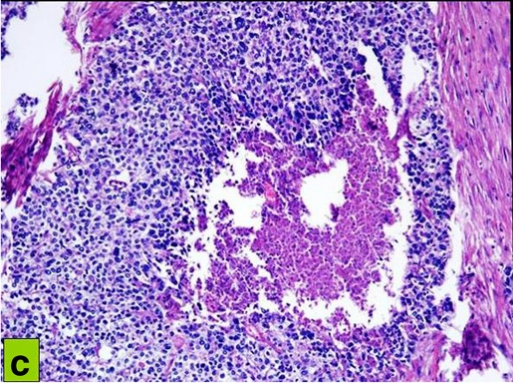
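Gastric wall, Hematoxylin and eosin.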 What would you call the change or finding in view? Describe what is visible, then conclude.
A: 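The center of a solid cell nest is filled with pink granular debris lacking intact nuclei. Viable crowded tumor cells with blue nuclei ring the debris.
Answer: central necrosis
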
